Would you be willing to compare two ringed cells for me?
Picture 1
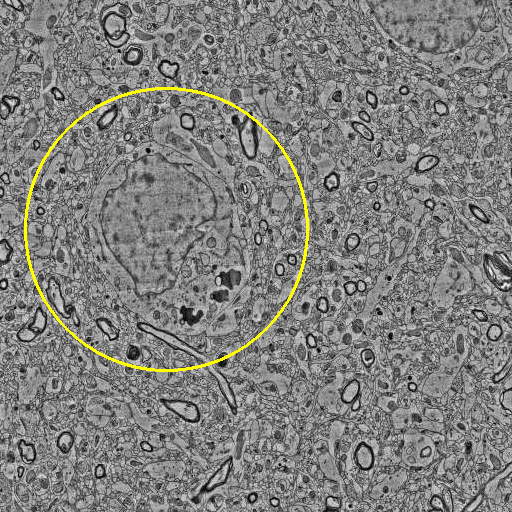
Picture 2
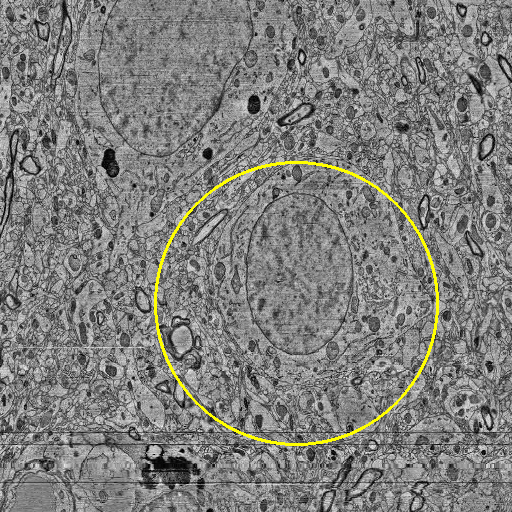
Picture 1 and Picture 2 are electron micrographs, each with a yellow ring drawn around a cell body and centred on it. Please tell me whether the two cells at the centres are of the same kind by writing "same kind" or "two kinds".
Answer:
same kind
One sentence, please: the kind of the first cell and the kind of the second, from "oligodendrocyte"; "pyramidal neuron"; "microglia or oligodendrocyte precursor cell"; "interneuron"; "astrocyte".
Each of the ringed cells, first and second, is an interneuron.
